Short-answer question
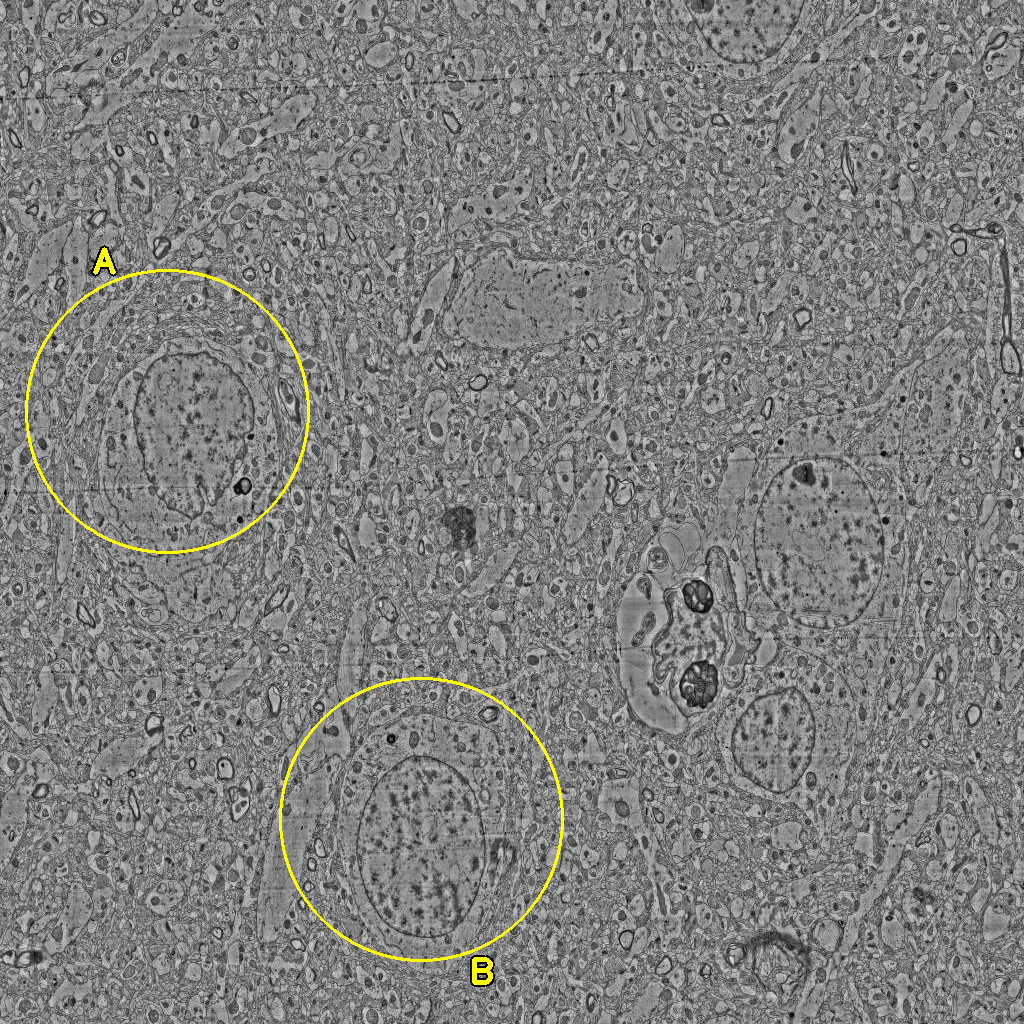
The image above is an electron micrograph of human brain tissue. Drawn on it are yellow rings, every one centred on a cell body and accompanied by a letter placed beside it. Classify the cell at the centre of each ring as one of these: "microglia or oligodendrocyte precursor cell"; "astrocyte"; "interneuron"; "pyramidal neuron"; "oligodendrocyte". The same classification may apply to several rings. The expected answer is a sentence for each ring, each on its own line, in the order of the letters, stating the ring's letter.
The cell at ring A is classified as a pyramidal neuron.
The cell at ring B is classified as a pyramidal neuron.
